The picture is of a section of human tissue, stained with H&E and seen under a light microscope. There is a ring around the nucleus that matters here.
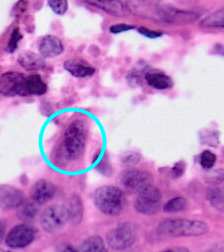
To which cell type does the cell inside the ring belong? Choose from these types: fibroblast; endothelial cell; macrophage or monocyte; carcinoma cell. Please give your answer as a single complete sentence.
Histopathologically, the cell inside the ring is a carcinoma cell.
